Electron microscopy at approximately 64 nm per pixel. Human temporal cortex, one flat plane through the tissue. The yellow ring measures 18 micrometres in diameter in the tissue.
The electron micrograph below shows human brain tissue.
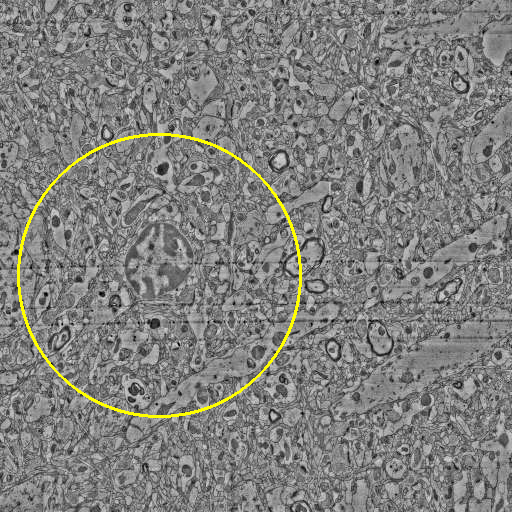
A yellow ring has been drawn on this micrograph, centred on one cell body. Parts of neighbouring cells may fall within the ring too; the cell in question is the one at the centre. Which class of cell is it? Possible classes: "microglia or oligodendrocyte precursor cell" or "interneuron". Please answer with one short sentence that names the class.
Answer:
In the centre of the ring sits a microglial cell or oligodendrocyte precursor cell.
